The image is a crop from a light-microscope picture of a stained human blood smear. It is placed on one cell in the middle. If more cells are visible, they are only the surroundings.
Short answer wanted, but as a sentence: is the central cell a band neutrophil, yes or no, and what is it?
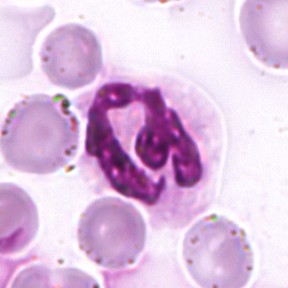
No, the central cell is not a band neutrophil, being instead a segmented neutrophil.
